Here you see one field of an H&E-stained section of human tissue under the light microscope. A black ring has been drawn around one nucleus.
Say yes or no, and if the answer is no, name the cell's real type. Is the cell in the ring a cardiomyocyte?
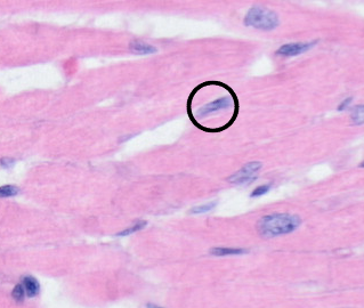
No, it is an endothelial cell.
